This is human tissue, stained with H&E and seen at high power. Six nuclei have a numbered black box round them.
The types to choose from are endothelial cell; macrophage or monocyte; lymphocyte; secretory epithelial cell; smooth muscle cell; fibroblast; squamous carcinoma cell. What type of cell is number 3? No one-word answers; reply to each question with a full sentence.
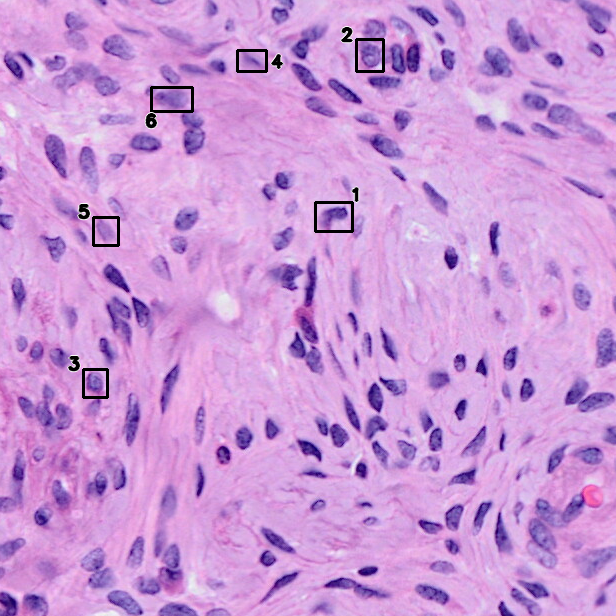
In this section, the cell numbered 3 is a smooth muscle cell.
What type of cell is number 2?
The cell marked with number 2 is an endothelial cell.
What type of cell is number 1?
The one numbered 1 among the marked cells is a fibroblast.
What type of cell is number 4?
Number 4 among the marked cells is a fibroblast.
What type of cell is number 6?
Number 6 is placed on a fibroblast here.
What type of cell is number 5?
The label 5 in this section denotes a fibroblast.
